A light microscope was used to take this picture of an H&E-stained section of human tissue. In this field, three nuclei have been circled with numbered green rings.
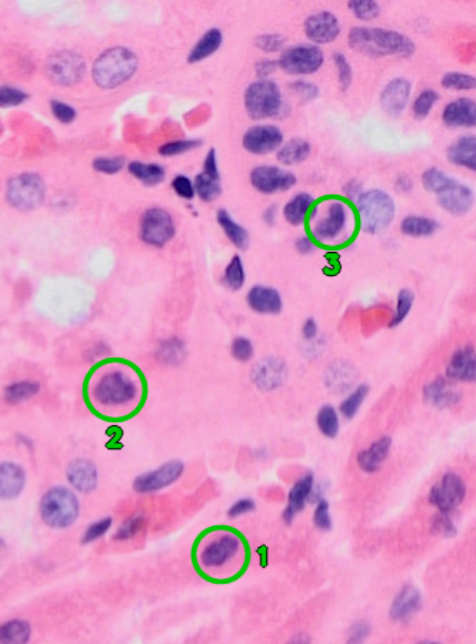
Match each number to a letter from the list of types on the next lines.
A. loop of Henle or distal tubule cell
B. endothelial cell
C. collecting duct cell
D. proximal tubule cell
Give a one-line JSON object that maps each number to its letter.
{"1": "D", "2": "D", "3": "C"}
